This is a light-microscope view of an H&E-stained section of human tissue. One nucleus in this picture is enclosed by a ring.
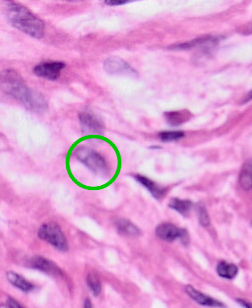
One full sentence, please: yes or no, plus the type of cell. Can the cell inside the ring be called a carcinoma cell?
No, the cell inside the ring is to be classified as a fibroblast rather than a carcinoma cell.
